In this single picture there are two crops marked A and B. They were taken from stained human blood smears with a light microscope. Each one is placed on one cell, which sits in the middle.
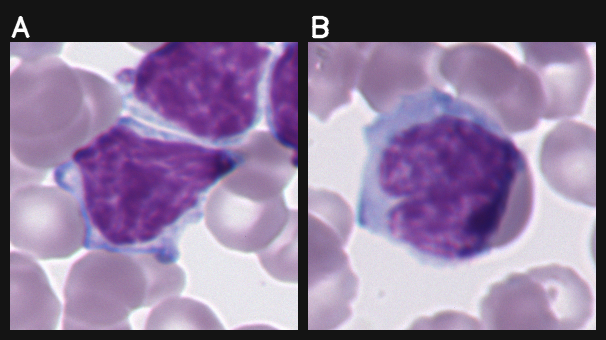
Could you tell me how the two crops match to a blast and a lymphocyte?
A: lymphocyte
B: blast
